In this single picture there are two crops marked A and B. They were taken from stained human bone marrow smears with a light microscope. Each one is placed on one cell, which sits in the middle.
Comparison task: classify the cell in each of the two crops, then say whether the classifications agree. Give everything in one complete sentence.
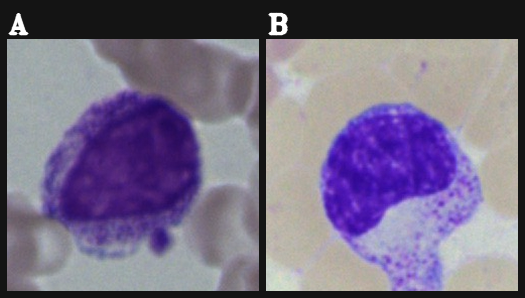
Yes, myelocytes occupy the centre of both crops.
